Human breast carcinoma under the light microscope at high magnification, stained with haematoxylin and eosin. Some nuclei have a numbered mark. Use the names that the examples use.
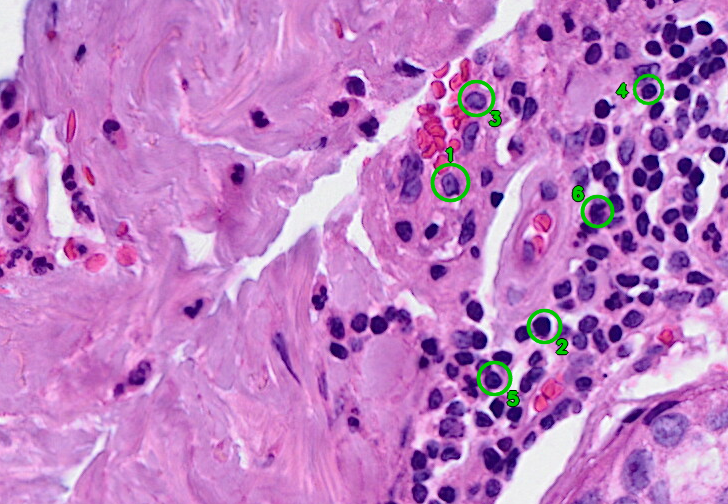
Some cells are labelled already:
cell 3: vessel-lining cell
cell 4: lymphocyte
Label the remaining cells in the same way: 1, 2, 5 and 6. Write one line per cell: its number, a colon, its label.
1: vessel-lining cell
2: lymphocyte
5: lymphocyte
6: lymphocyte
